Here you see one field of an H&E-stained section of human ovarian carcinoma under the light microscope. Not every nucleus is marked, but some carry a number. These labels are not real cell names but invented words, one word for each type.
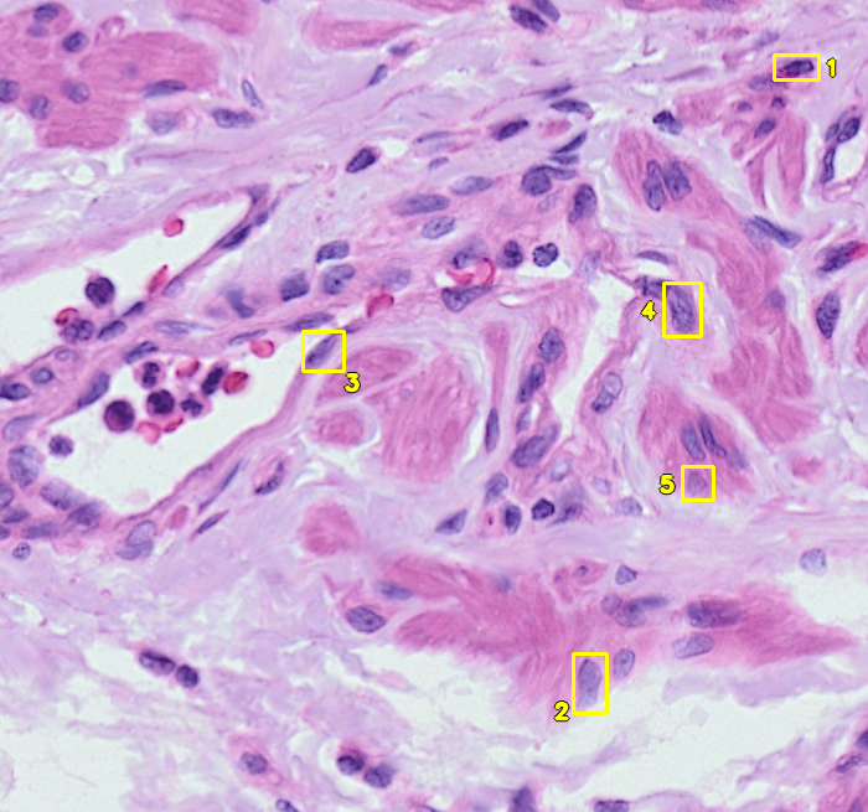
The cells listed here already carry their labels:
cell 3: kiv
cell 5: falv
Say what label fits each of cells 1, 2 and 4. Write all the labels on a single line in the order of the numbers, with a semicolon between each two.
kiv; falv; kiv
